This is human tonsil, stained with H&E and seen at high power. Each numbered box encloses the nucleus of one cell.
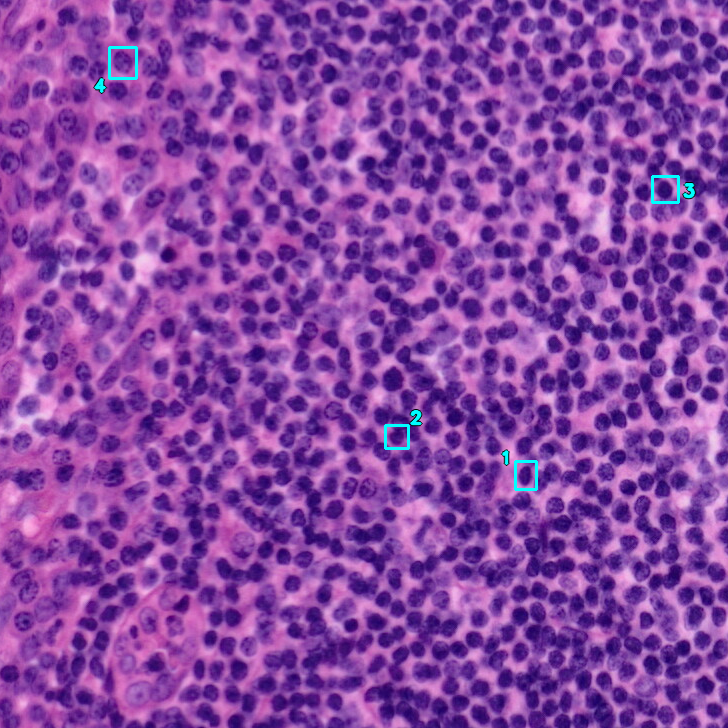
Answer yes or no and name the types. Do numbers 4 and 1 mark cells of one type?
No, cell 4 is a plasma cell and cell 1 is a small lymphocyte.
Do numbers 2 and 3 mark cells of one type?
Yes, both are small lymphocytes.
